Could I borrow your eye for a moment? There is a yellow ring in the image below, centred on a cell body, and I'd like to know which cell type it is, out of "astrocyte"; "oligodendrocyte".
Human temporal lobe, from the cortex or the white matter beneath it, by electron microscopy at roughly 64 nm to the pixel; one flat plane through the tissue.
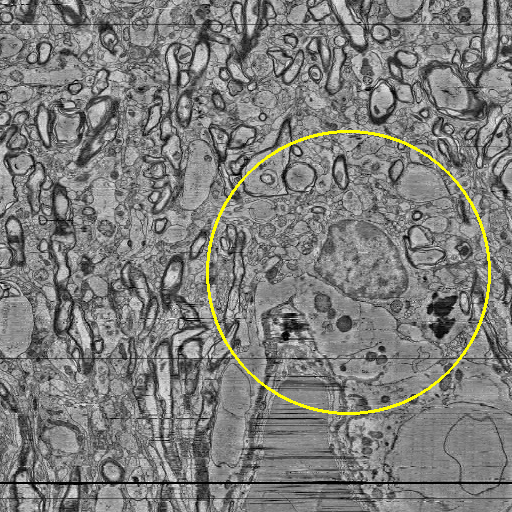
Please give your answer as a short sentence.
The cell body at the centre is that of an oligodendrocyte.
